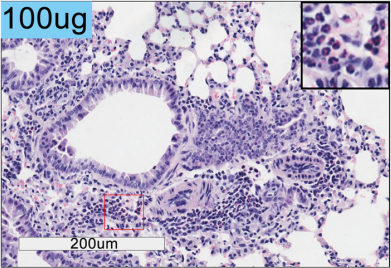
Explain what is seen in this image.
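Beside and below the airway, the connective tissue around it and the nearby vessel is thickened by clusters of inflammatory cells with dense purple nuclei. The inset, enlarged from the red box, shows mixed cells, some with pink cytoplasm and lobed dark nuclei. Further away the alveoli appear as open, thin-walled spaces lined by flattened cells.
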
